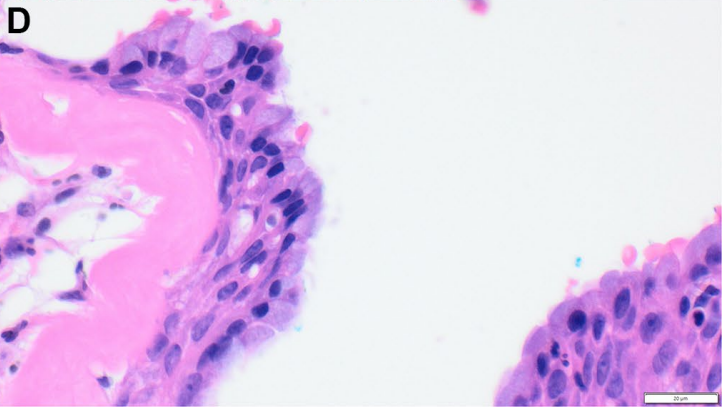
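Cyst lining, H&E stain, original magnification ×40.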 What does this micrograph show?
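Some cells near the surface have pale, bubbly, faintly bluish cytoplasm, appearance of mucous cells. Other cells have dark, elongated or oval nuclei and pink cytoplasm, and surface cells protrude into the lumen. The epithelium is only a few cells thick on the left and thicker on the right. Beneath it lies dense pink collagen with loose, paler connective tissue containing spindle-shaped nuclei.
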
